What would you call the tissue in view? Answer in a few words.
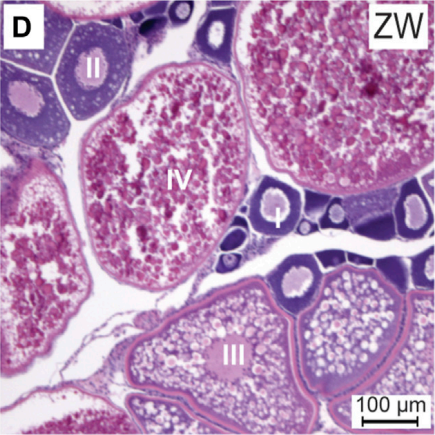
ovary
